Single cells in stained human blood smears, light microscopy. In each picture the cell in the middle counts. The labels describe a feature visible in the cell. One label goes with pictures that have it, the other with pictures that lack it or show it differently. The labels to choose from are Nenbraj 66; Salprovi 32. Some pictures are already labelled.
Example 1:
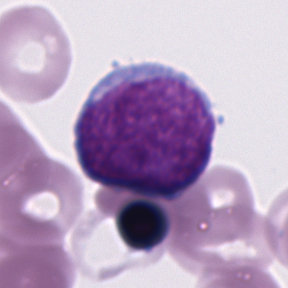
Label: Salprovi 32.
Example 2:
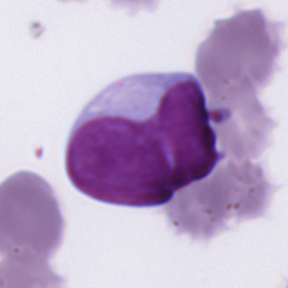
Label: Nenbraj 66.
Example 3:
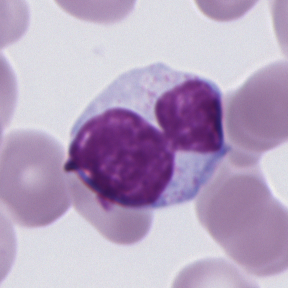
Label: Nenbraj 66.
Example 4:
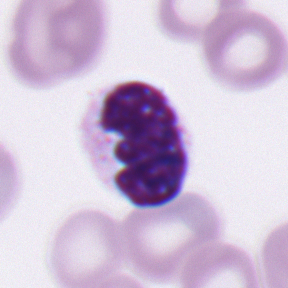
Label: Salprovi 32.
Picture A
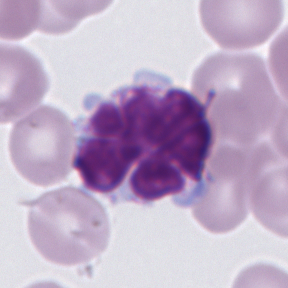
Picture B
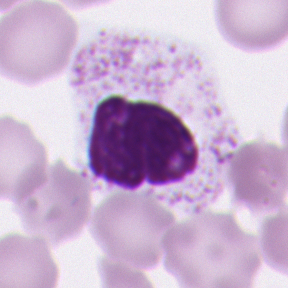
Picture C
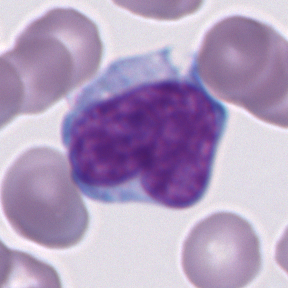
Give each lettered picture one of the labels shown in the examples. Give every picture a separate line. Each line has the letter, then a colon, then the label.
A: Nenbraj 66.
B: Nenbraj 66.
C: Nenbraj 66.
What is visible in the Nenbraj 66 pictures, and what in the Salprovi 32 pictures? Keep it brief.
Seen in Nenbraj 66: lobed nucleus; seen in Salprovi 32: single compact nucleus.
